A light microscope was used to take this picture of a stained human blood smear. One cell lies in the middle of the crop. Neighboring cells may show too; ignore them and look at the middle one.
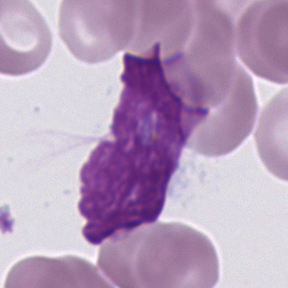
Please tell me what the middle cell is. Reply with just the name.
smudge cell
